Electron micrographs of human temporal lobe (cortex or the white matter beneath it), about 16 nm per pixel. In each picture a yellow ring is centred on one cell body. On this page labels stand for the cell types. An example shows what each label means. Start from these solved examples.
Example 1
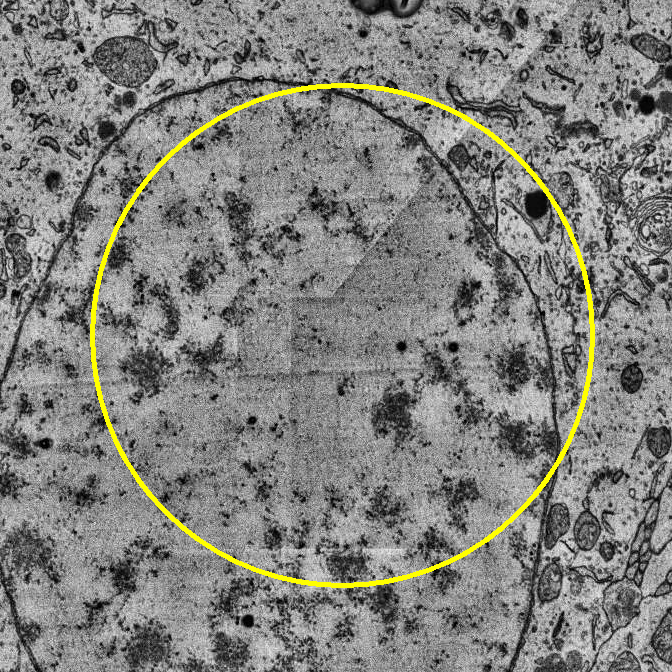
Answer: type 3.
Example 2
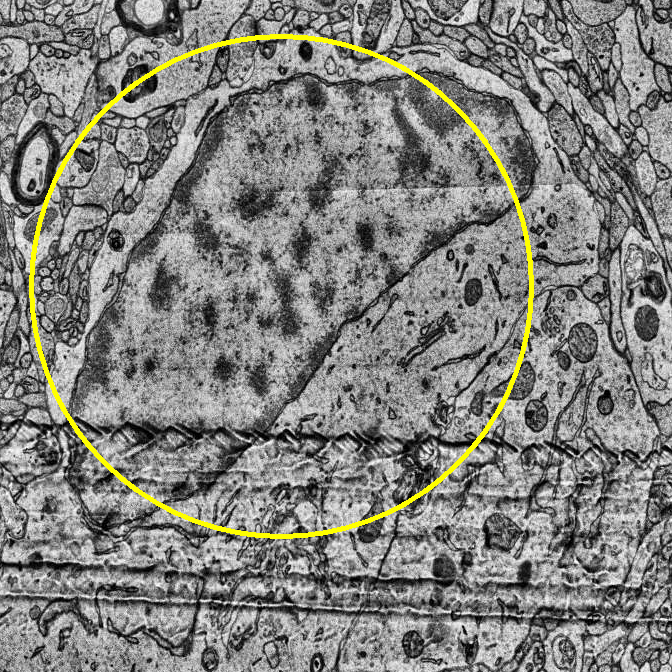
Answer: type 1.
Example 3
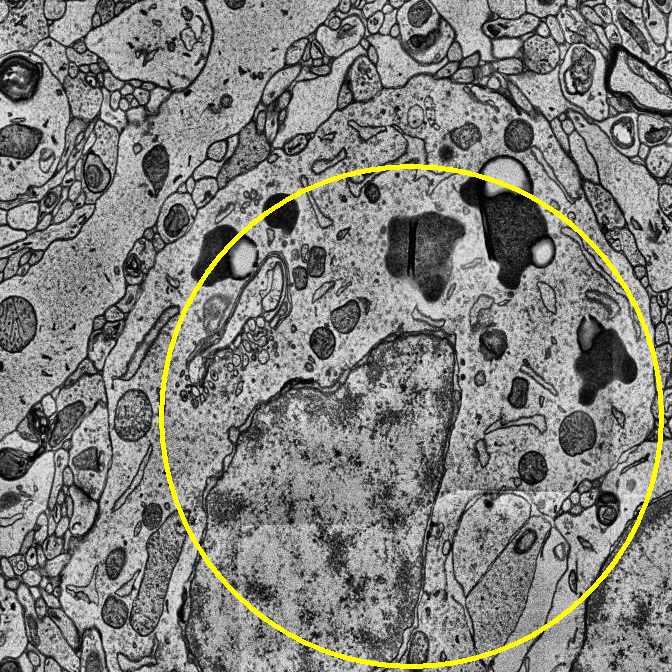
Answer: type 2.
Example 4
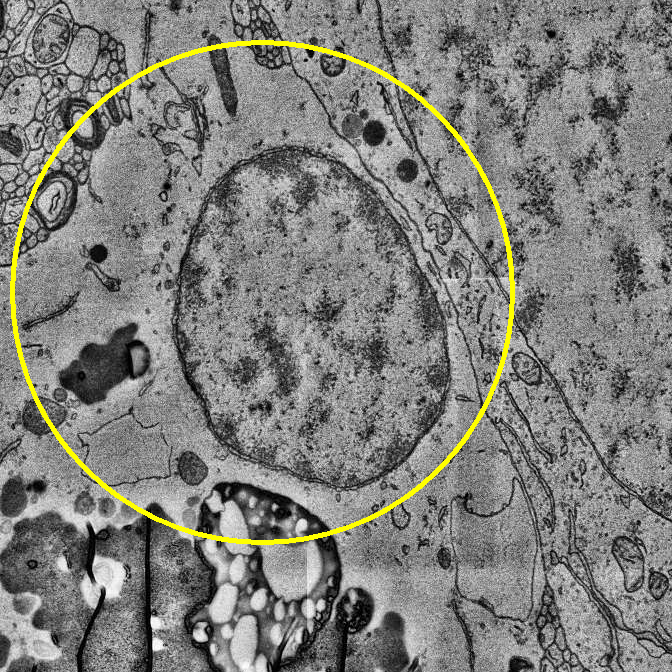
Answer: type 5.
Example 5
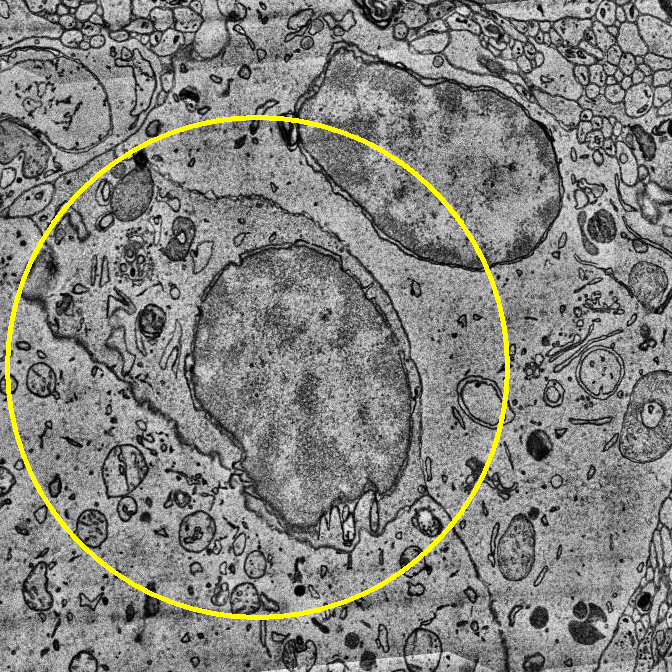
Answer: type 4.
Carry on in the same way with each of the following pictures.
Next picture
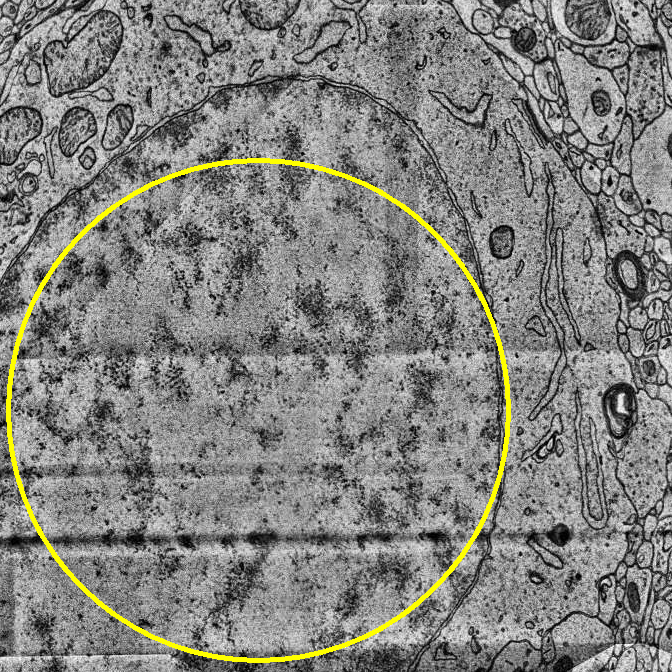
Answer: type 2.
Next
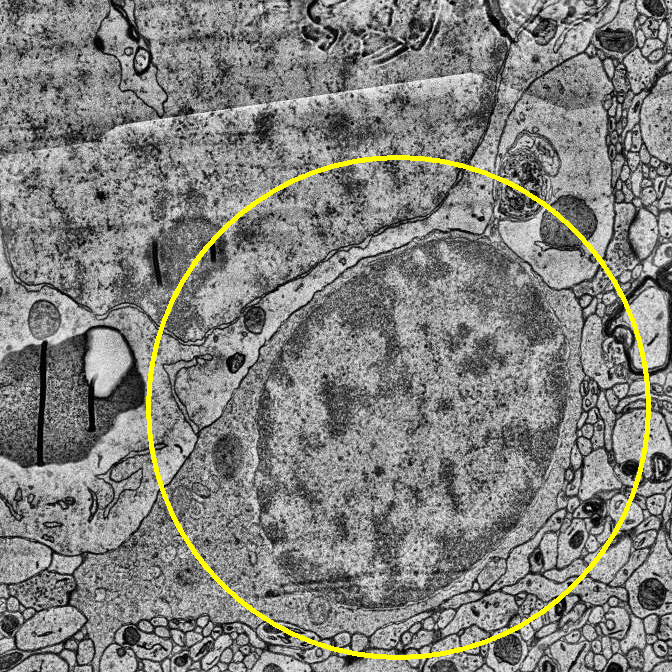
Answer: type 4.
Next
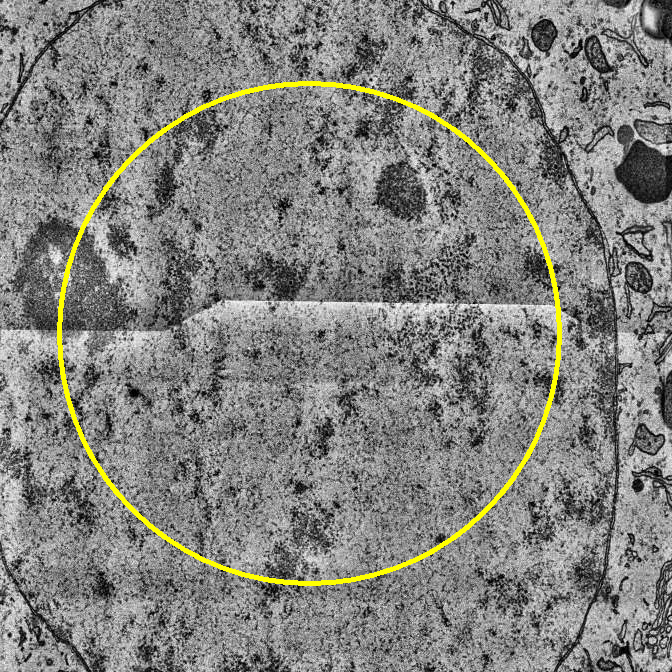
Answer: type 3.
